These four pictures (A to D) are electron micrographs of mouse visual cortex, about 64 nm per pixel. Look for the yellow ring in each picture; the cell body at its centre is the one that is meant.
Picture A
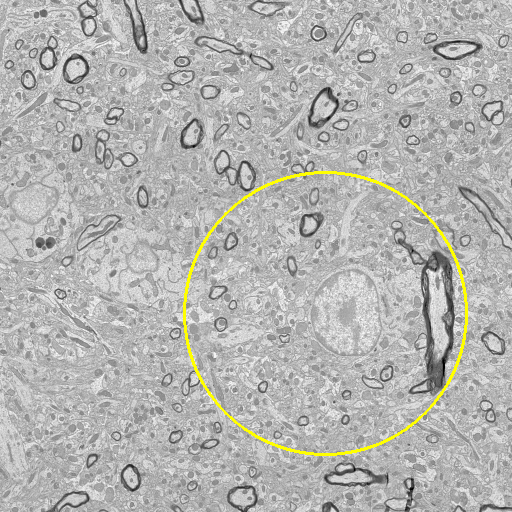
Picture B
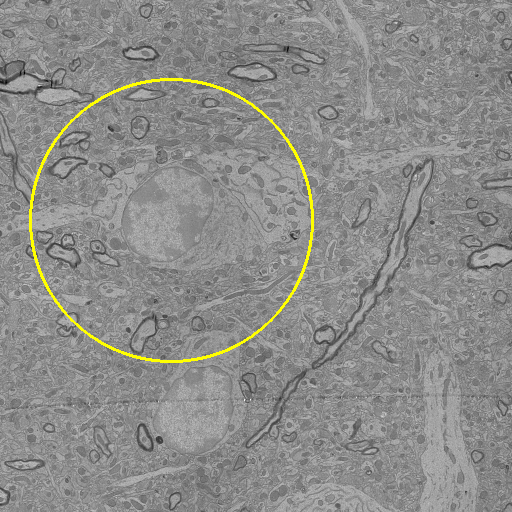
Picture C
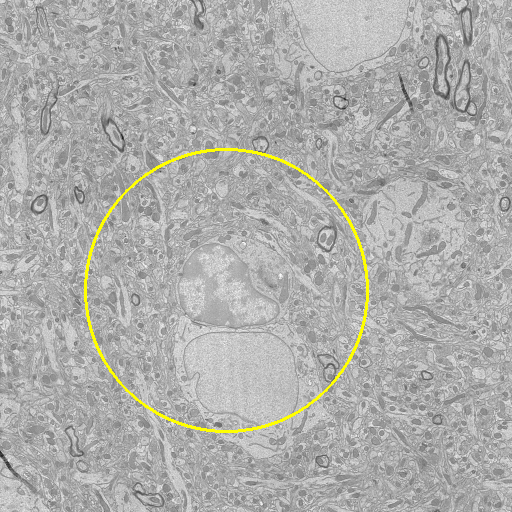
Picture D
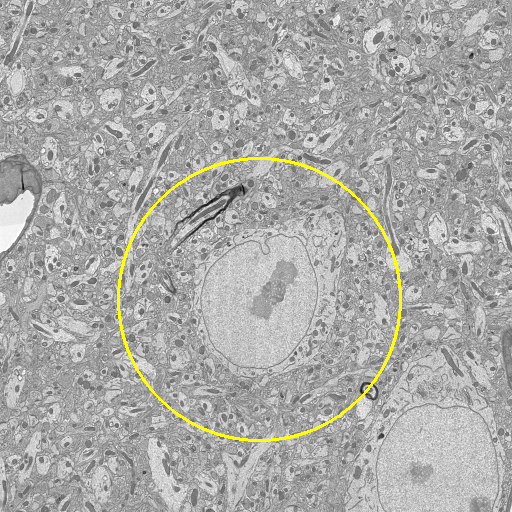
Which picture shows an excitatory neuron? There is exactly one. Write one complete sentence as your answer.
The cell in picture D is the excitatory neuron.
